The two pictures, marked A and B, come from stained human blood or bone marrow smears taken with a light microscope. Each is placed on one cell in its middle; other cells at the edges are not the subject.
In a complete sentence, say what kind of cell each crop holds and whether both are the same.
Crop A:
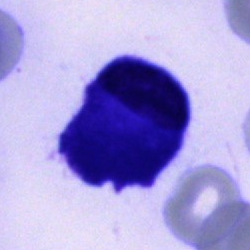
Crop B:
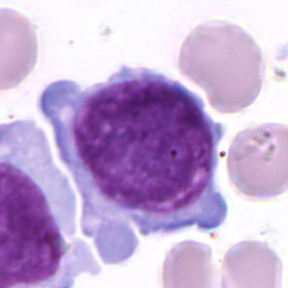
Yes, for both crops, the central cells are plasma cells.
